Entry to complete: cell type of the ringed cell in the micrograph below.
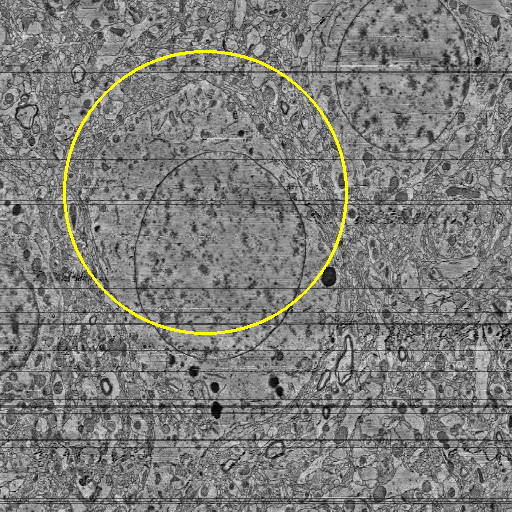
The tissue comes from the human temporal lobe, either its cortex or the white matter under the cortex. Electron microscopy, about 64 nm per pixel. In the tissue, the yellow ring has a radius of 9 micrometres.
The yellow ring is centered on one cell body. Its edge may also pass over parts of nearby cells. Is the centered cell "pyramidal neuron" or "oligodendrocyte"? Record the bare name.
pyramidal neuron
